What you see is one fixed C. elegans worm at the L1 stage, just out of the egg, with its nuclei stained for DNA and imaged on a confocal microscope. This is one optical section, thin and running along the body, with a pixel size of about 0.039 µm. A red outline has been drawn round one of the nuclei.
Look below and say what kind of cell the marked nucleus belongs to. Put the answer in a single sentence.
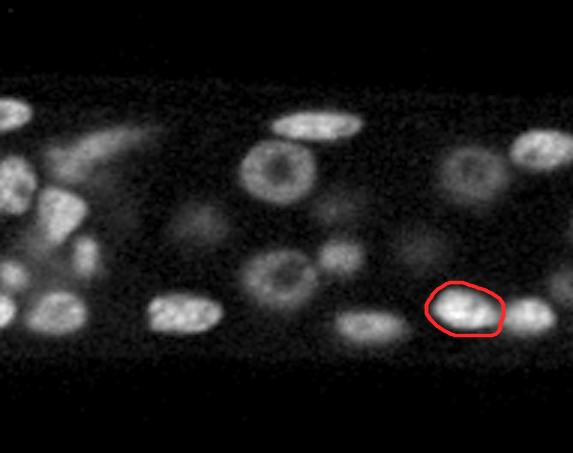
It belongs to a coelomocyte.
